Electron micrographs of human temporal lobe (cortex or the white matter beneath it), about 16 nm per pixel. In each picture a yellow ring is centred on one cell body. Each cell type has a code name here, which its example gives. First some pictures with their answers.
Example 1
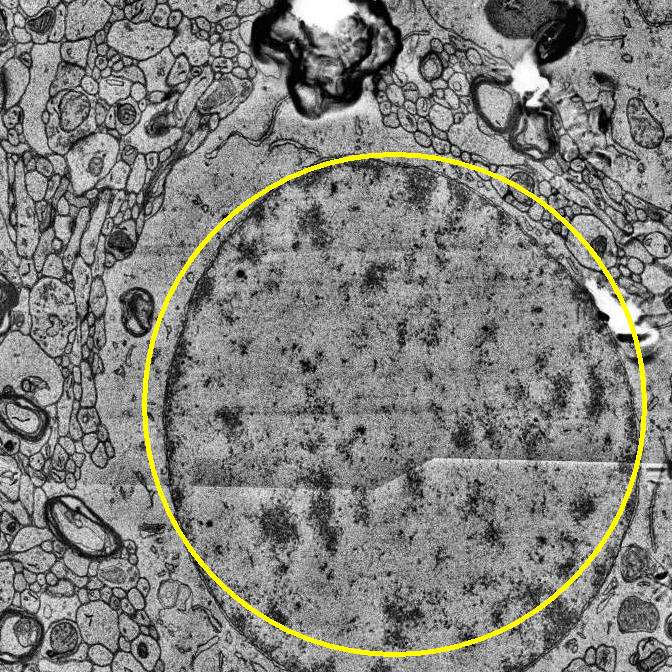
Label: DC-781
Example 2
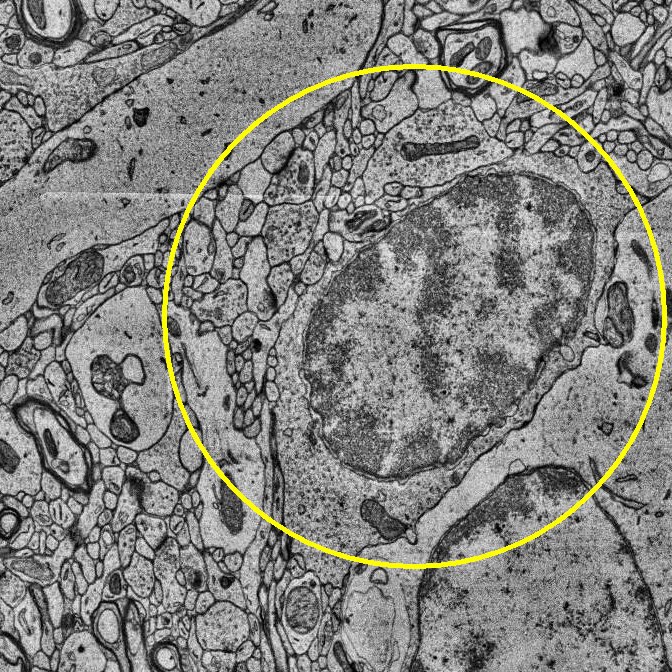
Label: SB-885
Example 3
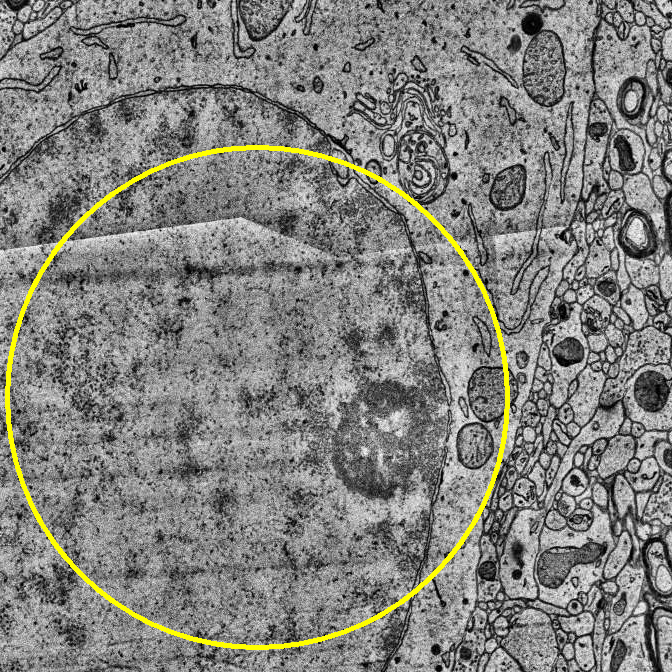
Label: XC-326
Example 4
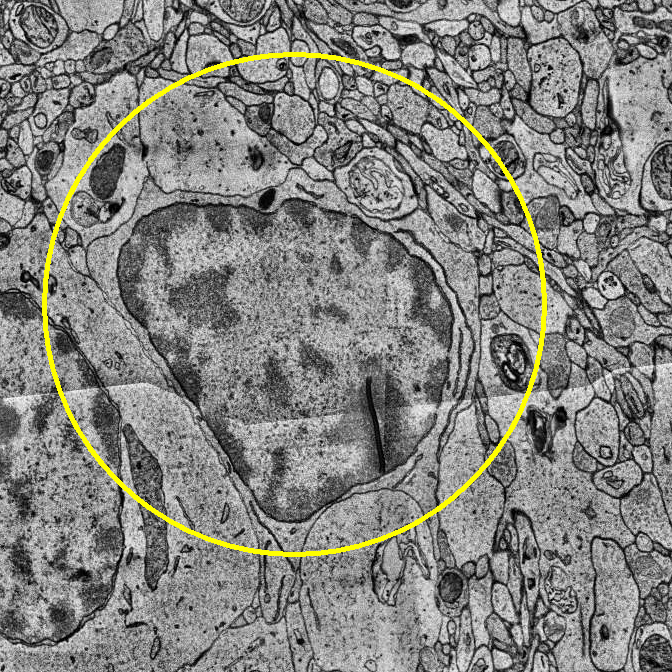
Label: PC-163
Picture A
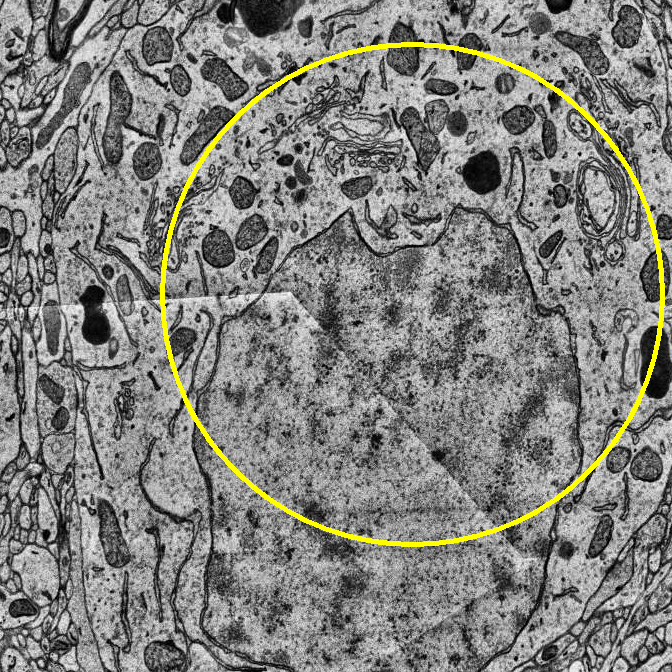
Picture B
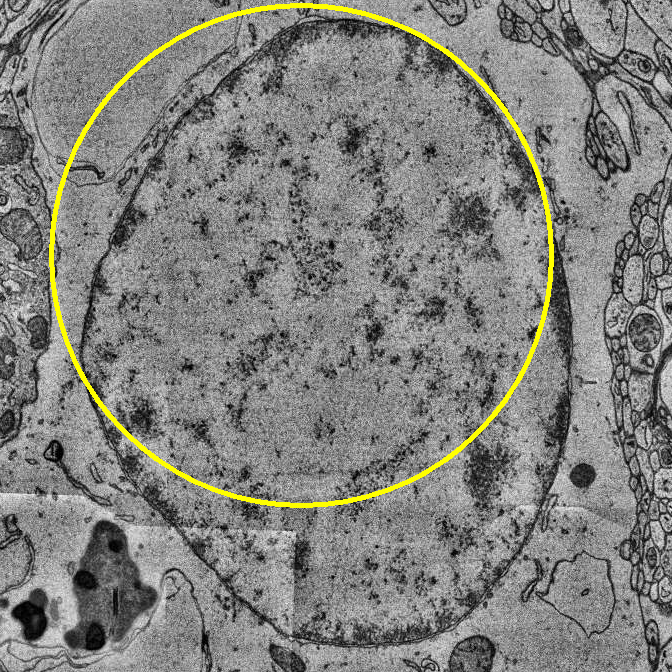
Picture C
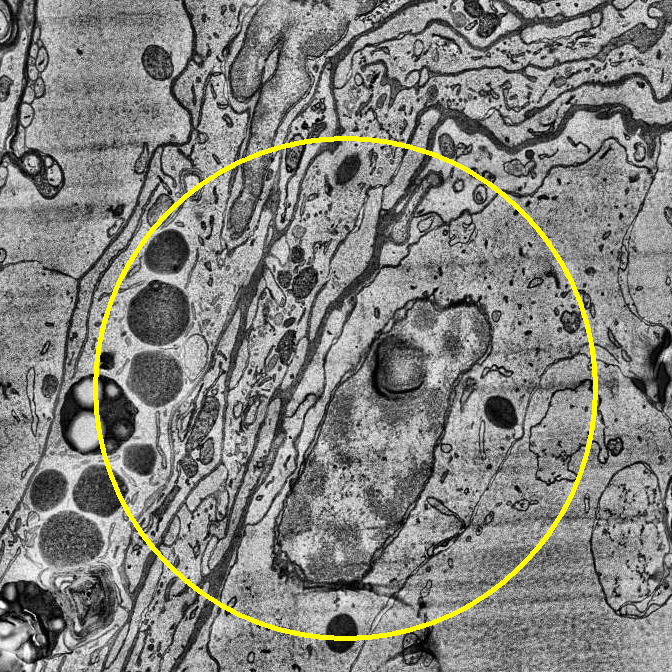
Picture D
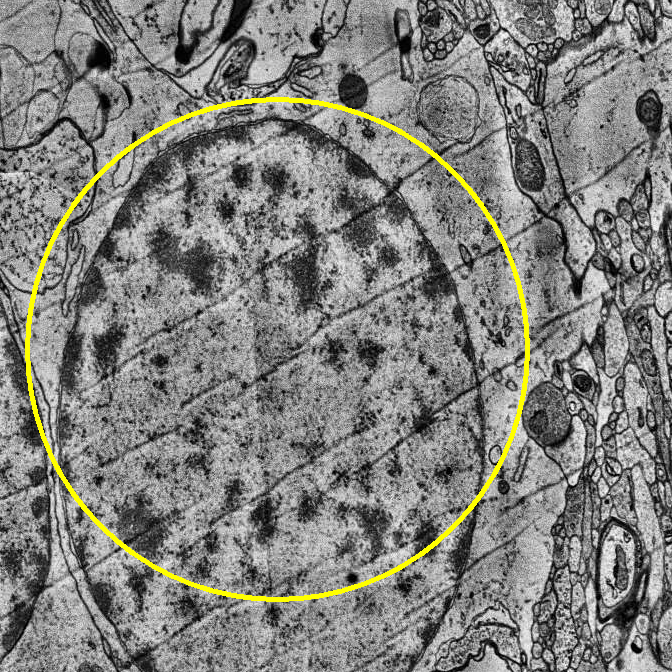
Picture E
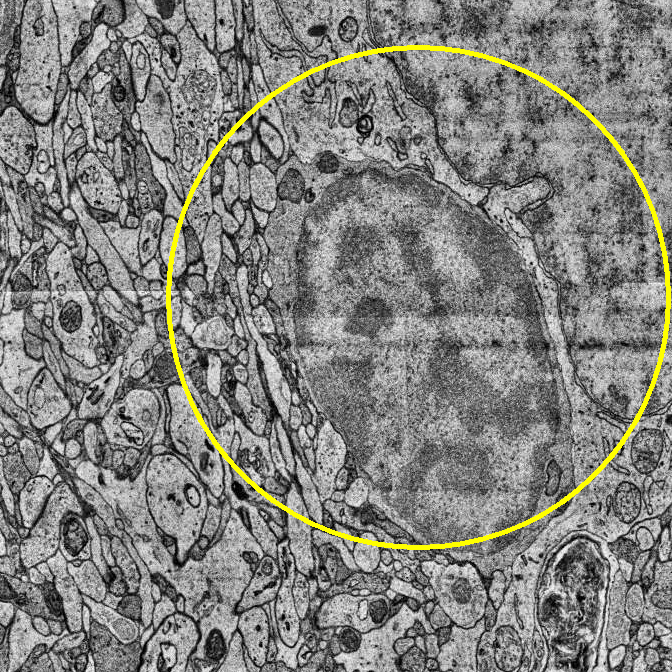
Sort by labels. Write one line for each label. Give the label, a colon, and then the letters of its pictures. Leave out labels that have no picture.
DC-781: B, D
SB-885: E
XC-326: A
PC-163: C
